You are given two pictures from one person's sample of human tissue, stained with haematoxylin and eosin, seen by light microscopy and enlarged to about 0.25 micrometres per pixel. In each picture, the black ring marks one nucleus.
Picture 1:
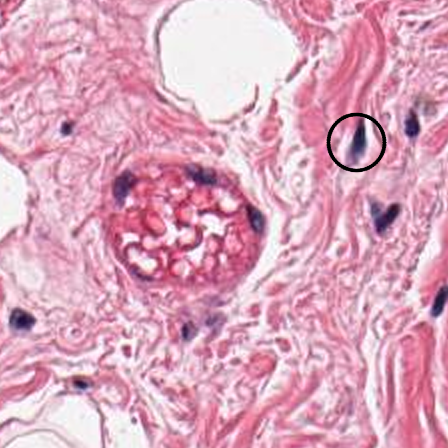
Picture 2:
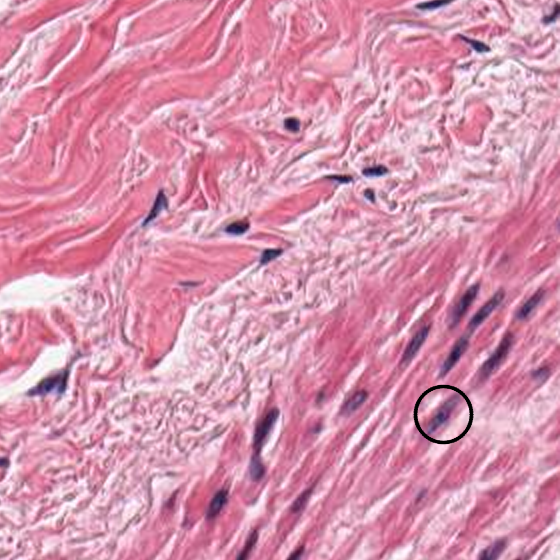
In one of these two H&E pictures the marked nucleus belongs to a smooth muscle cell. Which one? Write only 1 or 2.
2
